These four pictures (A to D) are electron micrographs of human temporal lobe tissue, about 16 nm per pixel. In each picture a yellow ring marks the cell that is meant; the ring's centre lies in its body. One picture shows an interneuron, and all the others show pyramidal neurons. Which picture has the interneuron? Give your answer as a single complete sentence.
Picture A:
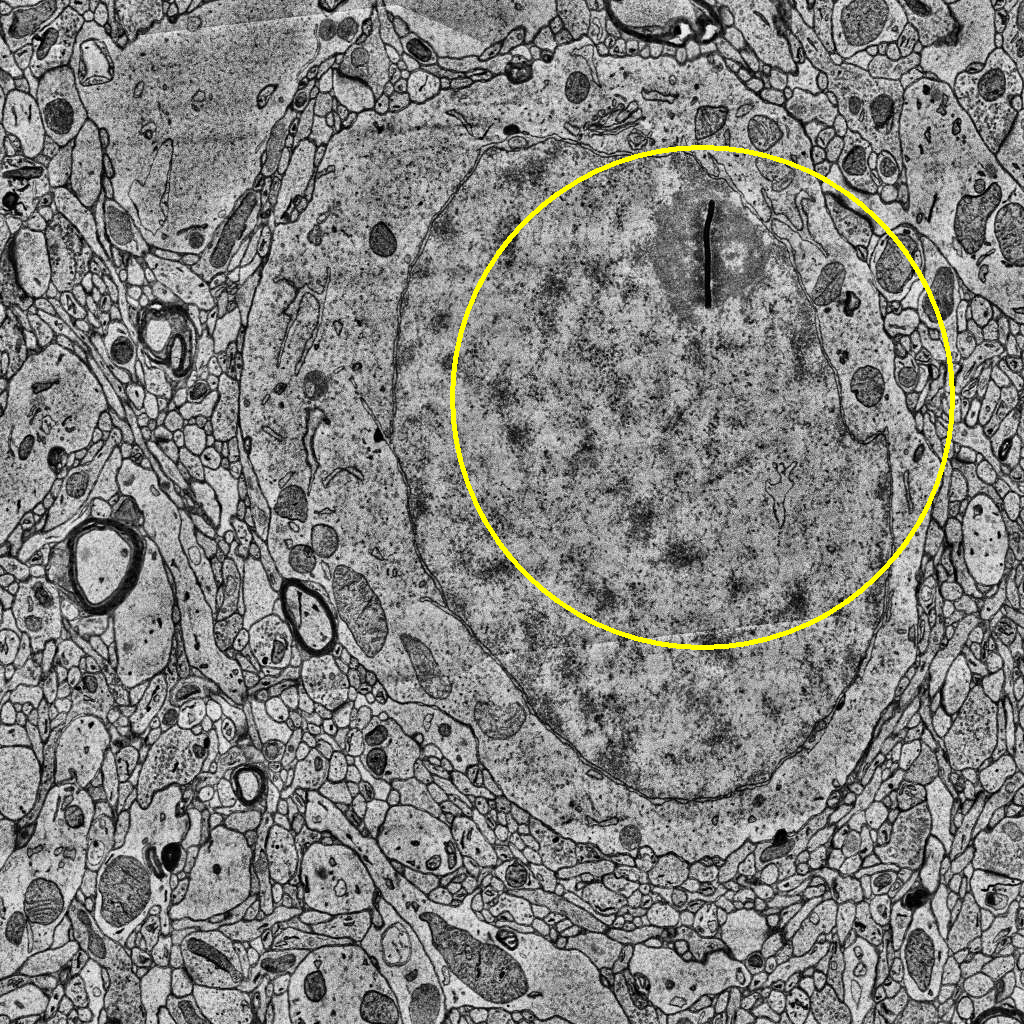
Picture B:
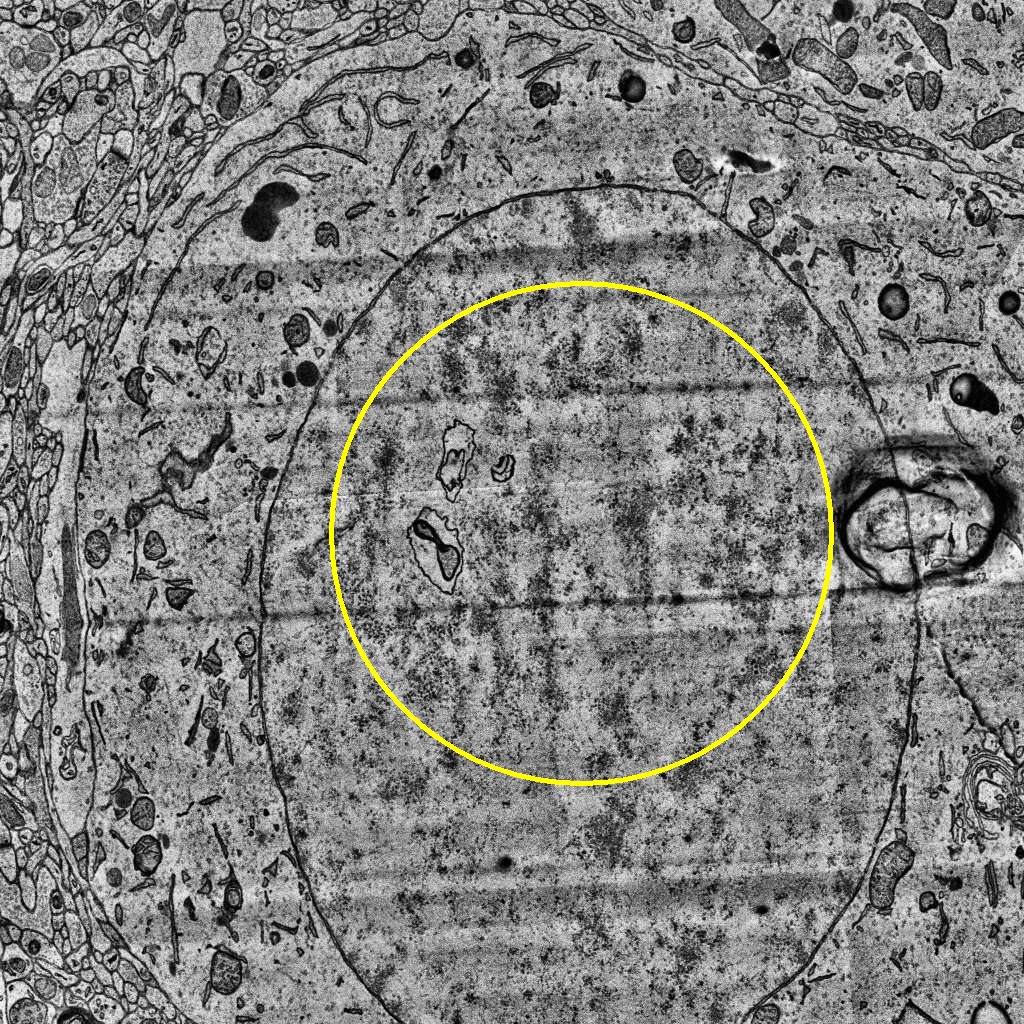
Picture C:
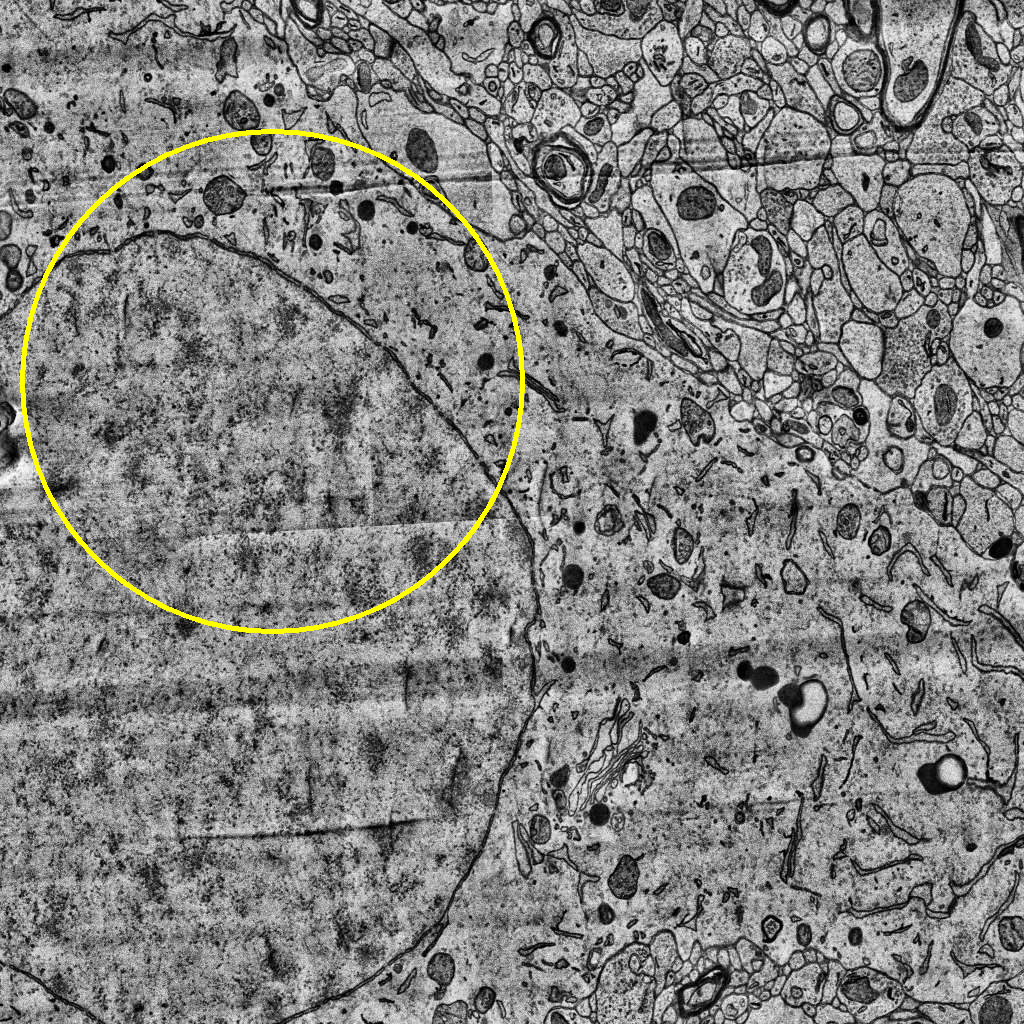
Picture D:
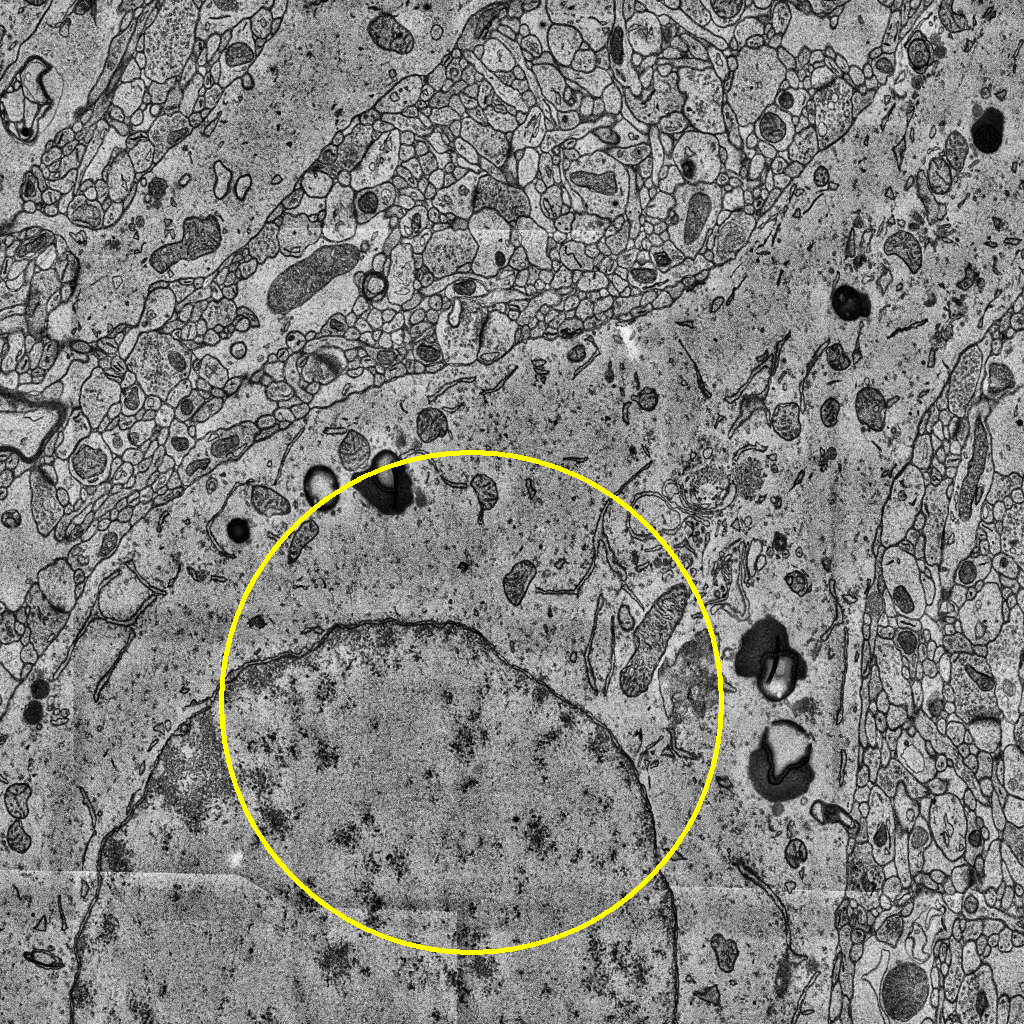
The picture with the interneuron is A.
